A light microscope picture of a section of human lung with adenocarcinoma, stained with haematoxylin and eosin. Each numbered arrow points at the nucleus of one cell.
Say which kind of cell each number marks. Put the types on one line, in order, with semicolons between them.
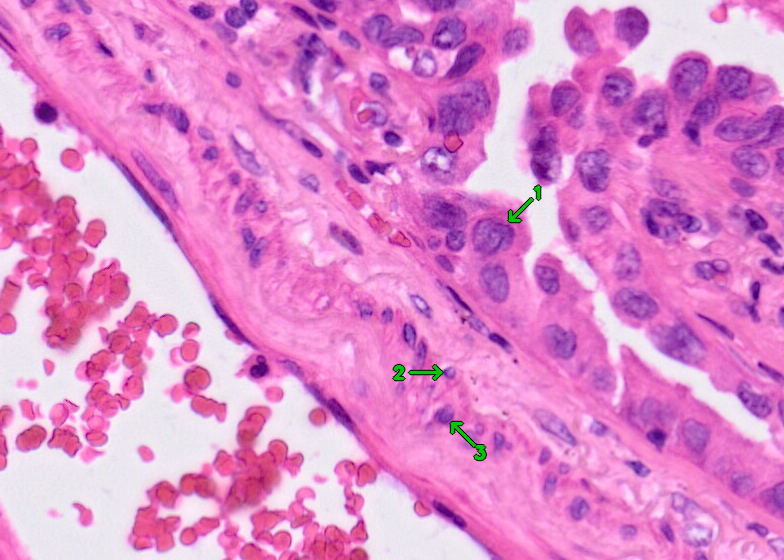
carcinoma cell; smooth muscle cell or pericyte; smooth muscle cell or pericyte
